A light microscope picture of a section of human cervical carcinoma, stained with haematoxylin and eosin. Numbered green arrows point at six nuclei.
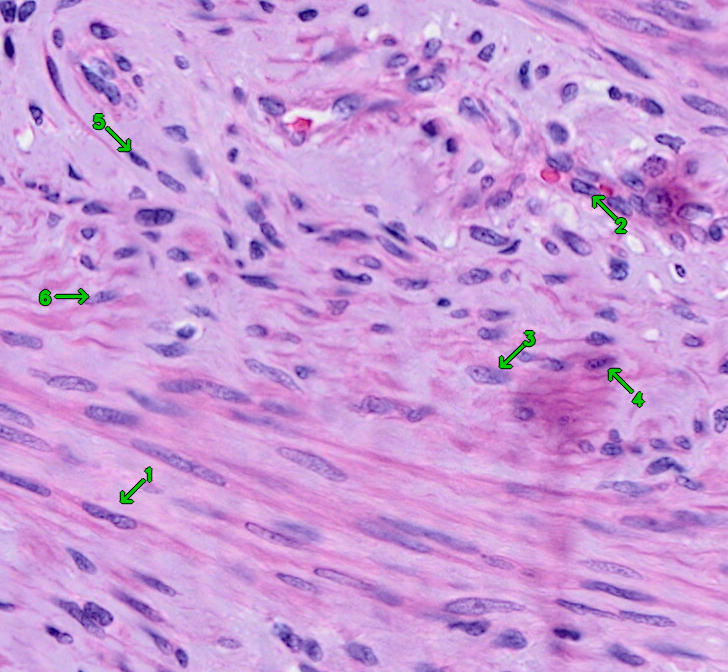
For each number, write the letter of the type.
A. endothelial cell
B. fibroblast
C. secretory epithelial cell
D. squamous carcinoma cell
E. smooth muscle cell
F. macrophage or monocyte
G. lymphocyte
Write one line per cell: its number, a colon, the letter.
1: E
2: A
3: E
4: E
5: B
6: E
